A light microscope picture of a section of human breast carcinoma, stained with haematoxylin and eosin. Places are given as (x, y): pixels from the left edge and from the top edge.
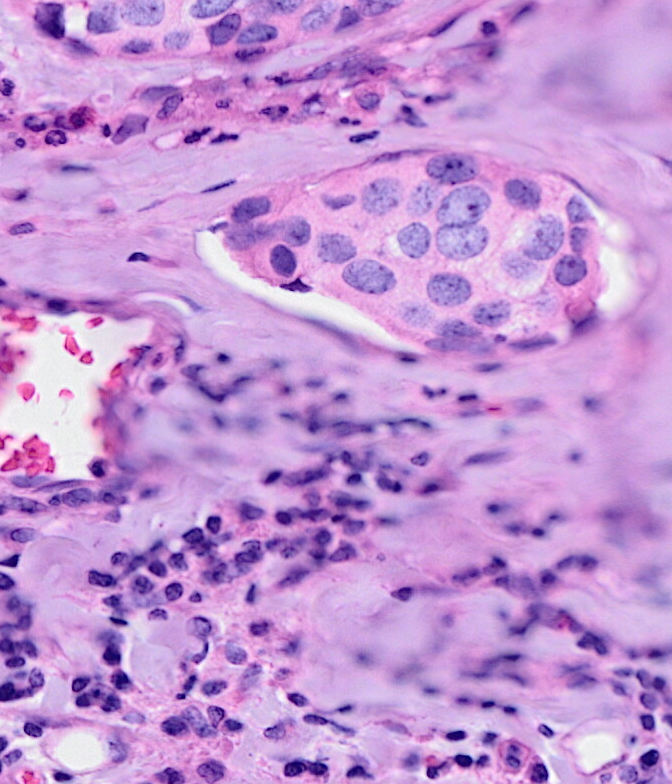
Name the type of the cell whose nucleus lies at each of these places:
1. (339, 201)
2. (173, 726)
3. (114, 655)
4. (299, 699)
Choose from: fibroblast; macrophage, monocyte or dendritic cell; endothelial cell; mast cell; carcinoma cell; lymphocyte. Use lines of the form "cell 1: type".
cell 1: carcinoma cell
cell 2: lymphocyte
cell 3: lymphocyte
cell 4: lymphocyte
